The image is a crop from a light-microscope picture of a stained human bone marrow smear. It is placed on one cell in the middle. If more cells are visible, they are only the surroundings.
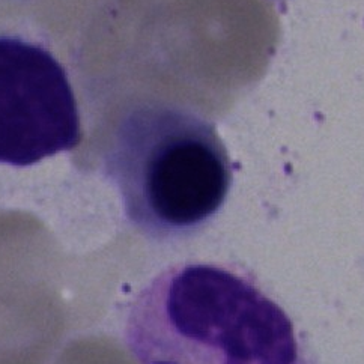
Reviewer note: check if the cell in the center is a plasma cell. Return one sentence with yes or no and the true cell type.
No, the centred cell is an erythroblast instead of a plasma cell.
